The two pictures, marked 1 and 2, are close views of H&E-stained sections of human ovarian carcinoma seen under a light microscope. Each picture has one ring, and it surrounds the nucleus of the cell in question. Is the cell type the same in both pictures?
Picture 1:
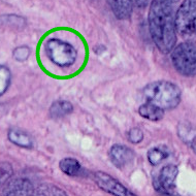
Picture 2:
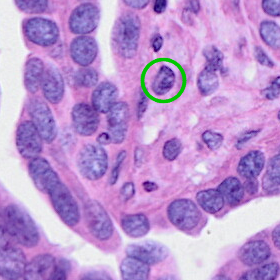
no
